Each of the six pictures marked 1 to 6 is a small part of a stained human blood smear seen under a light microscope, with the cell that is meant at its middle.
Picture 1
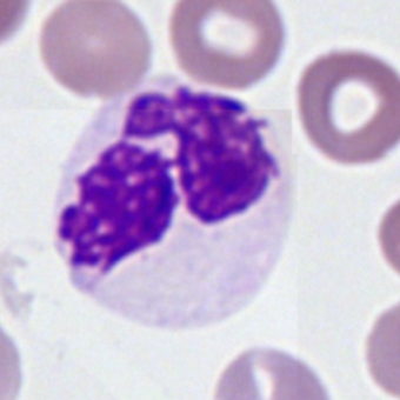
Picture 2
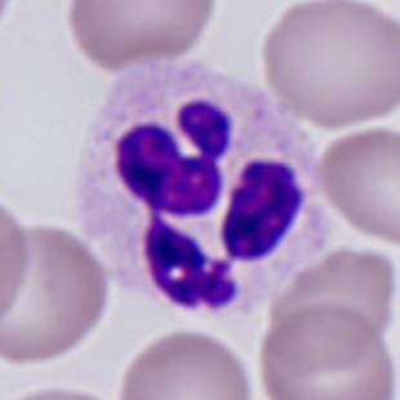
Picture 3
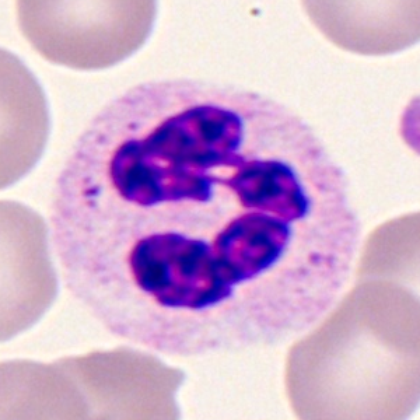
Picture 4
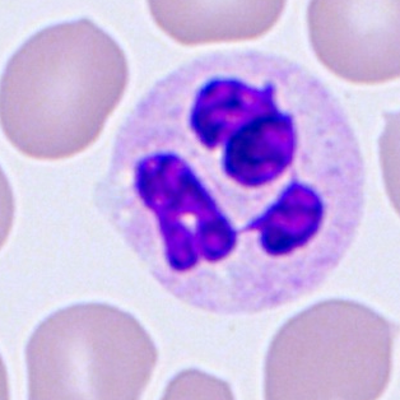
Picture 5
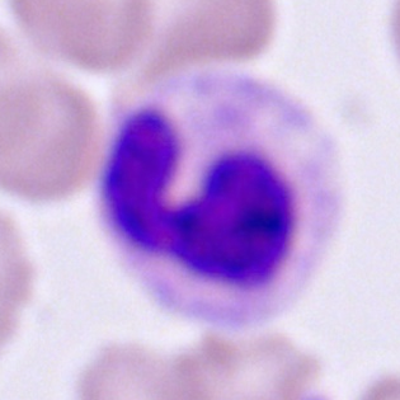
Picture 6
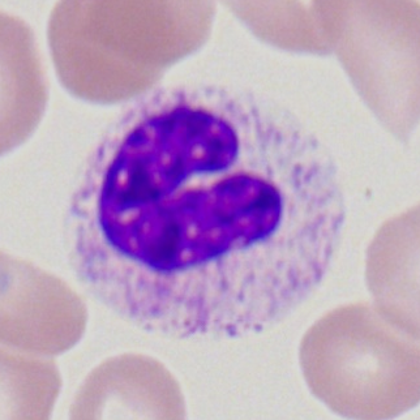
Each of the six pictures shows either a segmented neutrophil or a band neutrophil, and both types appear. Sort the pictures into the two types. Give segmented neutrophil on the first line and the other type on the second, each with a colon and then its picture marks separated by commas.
segmented neutrophil: 1, 2, 3, 4
band neutrophil: 5, 6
